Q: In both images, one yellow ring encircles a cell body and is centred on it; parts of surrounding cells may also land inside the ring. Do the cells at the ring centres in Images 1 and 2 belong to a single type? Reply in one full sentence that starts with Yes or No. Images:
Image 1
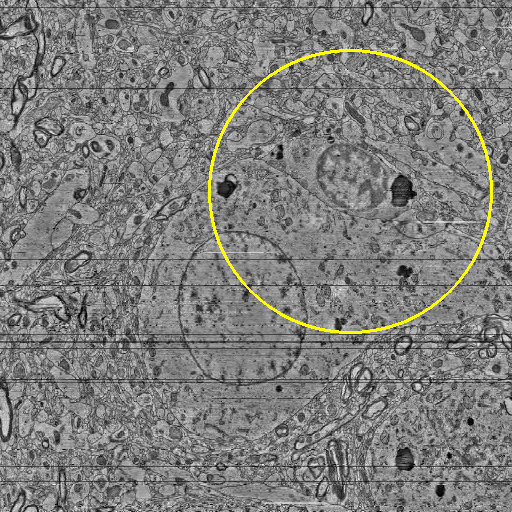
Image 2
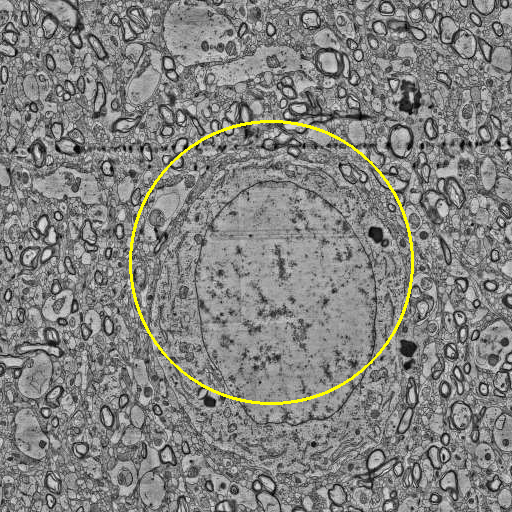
No, the cells at the ring centres in Images 1 and 2 are of two types.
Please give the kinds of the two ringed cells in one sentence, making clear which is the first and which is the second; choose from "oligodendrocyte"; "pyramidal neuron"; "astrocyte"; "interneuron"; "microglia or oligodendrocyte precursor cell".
In the second picture the ringed cell is a pyramidal neuron; in the first it is an oligodendrocyte.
